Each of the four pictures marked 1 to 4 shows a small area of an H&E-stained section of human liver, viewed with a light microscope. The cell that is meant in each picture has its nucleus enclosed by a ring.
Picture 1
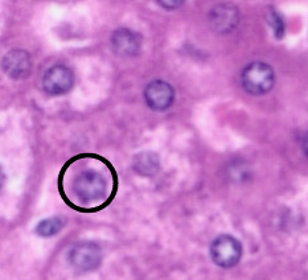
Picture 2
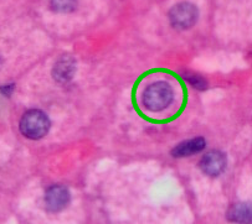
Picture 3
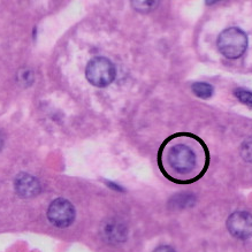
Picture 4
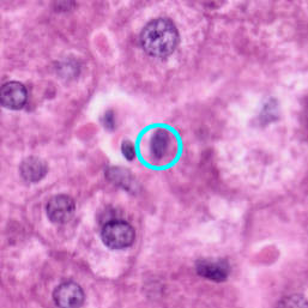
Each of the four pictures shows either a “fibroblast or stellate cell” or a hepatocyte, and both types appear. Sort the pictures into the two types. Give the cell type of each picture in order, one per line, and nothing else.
hepatocyte
hepatocyte
hepatocyte
fibroblast or stellate cell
